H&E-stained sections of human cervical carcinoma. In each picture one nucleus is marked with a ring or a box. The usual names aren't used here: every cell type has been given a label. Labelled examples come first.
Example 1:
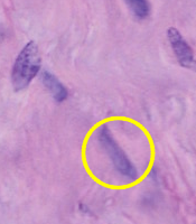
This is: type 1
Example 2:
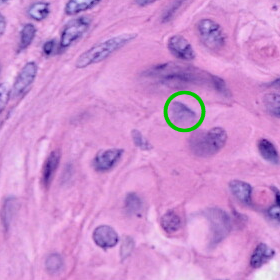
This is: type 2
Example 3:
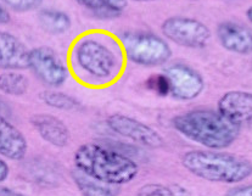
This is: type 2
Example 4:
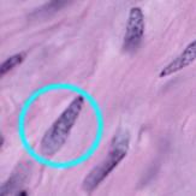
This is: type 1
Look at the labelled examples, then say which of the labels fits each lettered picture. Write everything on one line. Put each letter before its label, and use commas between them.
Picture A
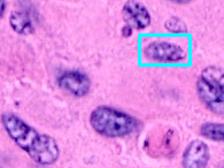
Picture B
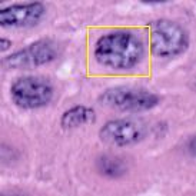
A type 2, B type 2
